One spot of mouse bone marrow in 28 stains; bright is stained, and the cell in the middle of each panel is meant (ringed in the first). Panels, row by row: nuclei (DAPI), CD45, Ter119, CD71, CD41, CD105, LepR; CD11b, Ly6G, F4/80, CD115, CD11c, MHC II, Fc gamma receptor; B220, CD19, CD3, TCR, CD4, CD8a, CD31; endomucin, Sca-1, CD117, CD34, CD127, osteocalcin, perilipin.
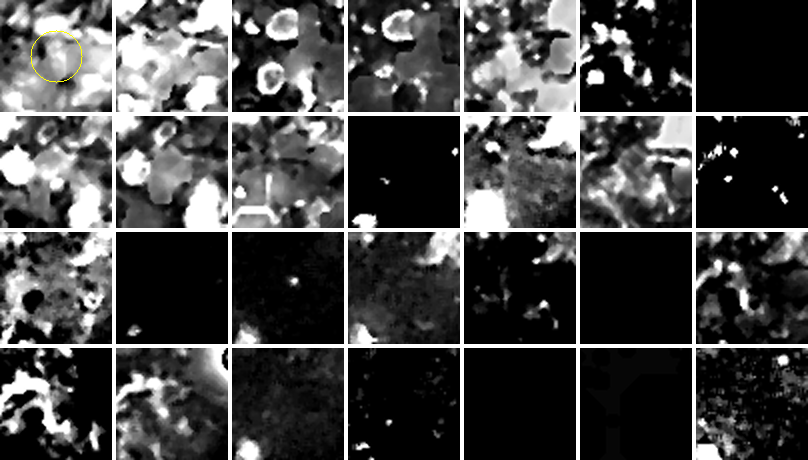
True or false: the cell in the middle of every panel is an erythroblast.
False; it is a conventional dendritic cell.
